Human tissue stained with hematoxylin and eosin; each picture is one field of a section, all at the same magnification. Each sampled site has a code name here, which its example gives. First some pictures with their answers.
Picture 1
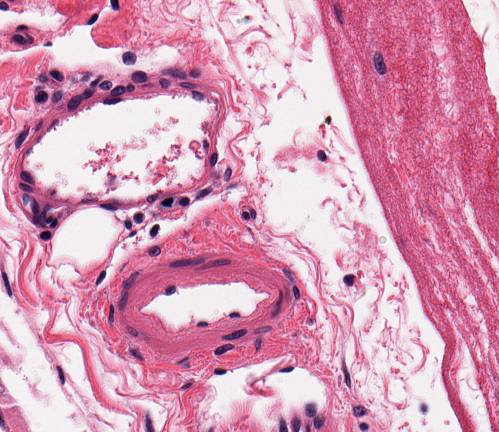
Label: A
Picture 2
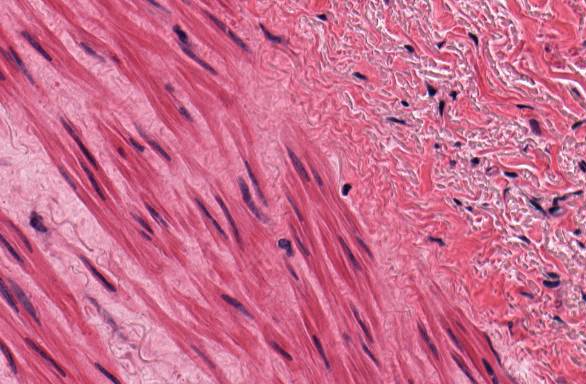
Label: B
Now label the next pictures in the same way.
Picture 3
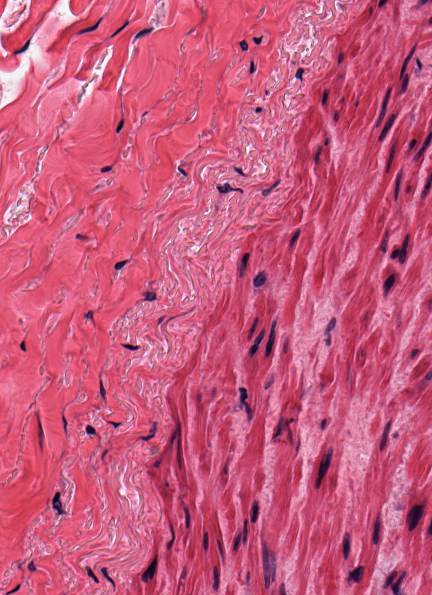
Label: B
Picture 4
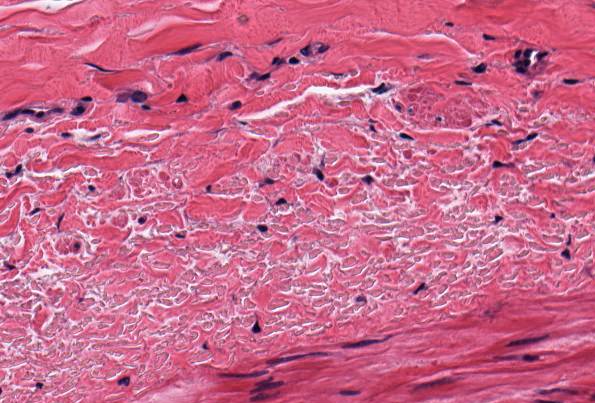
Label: B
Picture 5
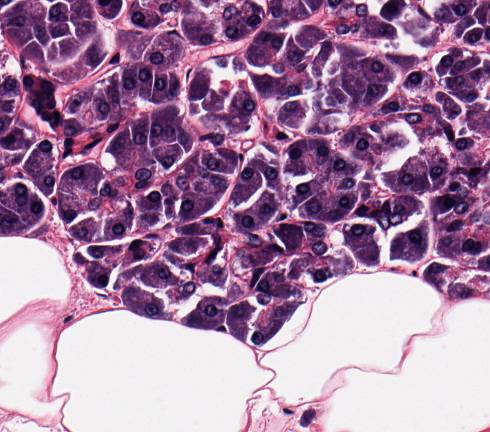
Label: A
